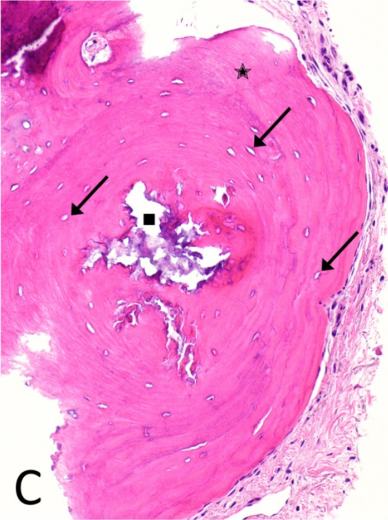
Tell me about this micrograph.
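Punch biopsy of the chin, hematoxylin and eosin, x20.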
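Bone lying in the dermis, made of dense, deep pink matrix laid down in concentric layers. Numerous osteocytes sit in small clear lacunae scattered along these layers. At the centre lies an irregular canal containing purple material, around which the layers are arranged. A thin rim of loose fibrous tissue with spindle-shaped nuclei surrounds the bone at its outer edge.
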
